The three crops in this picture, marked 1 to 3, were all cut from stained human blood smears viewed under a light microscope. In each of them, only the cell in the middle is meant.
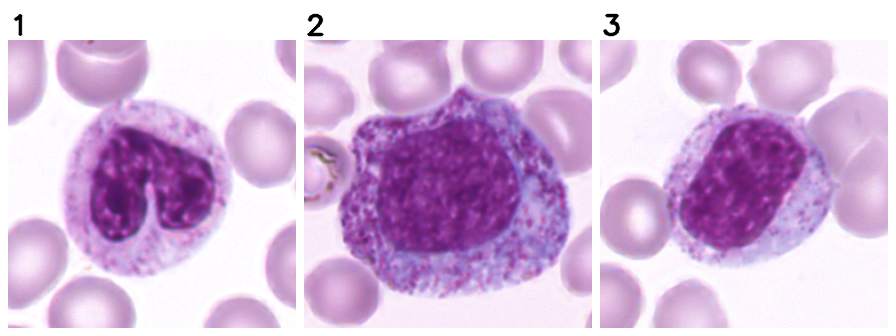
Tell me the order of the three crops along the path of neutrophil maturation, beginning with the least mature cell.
2, 3, 1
